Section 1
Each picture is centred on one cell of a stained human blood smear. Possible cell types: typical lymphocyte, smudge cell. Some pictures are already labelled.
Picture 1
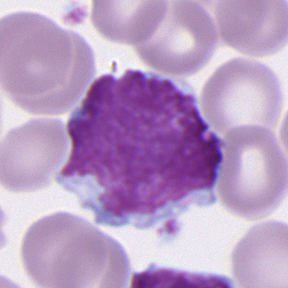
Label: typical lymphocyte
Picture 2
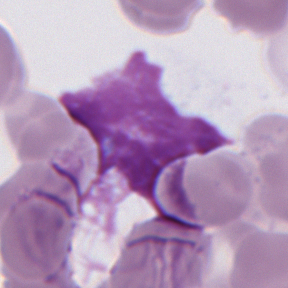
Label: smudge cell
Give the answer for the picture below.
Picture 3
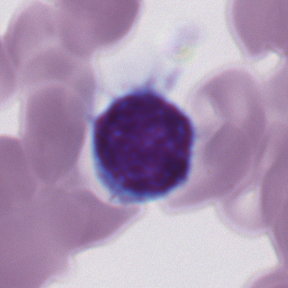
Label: typical lymphocyte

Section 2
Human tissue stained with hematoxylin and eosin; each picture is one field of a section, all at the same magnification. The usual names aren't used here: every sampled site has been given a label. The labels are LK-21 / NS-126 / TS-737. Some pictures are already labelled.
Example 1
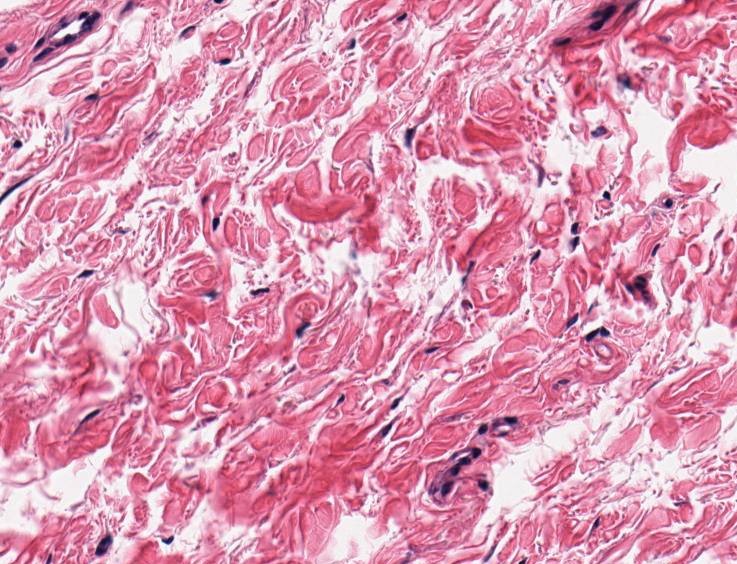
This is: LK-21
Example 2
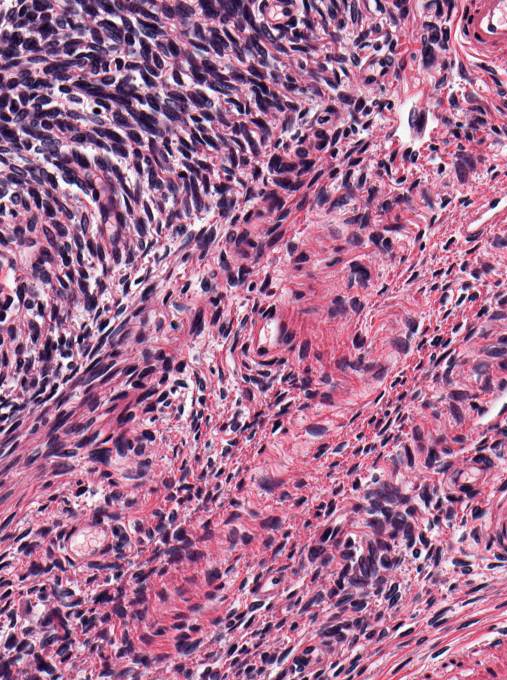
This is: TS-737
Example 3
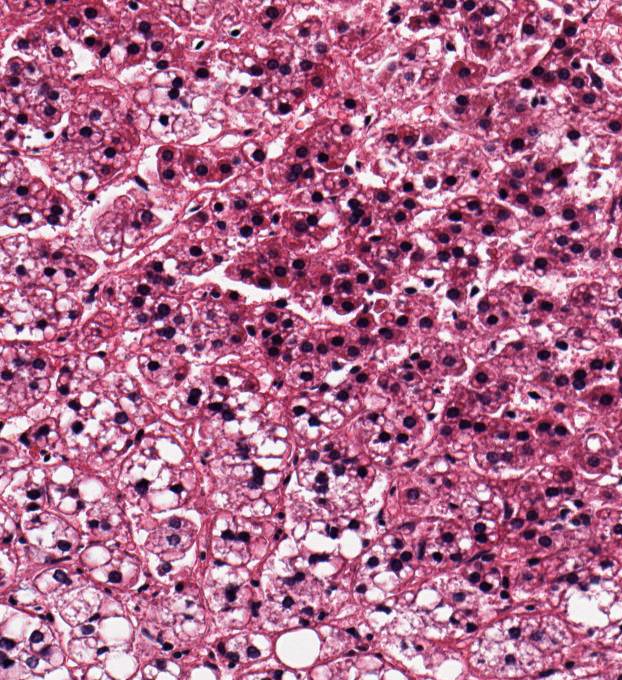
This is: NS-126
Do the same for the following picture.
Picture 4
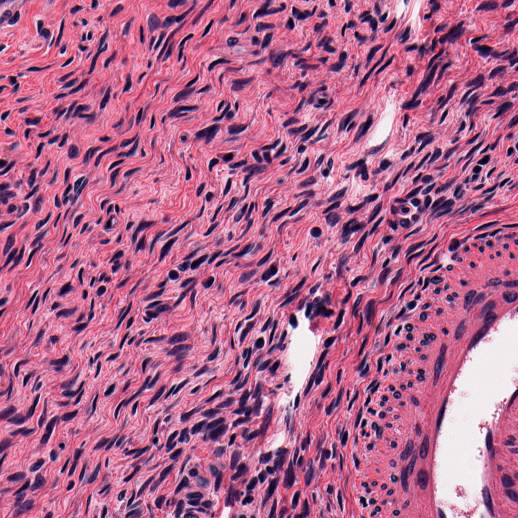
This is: TS-737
